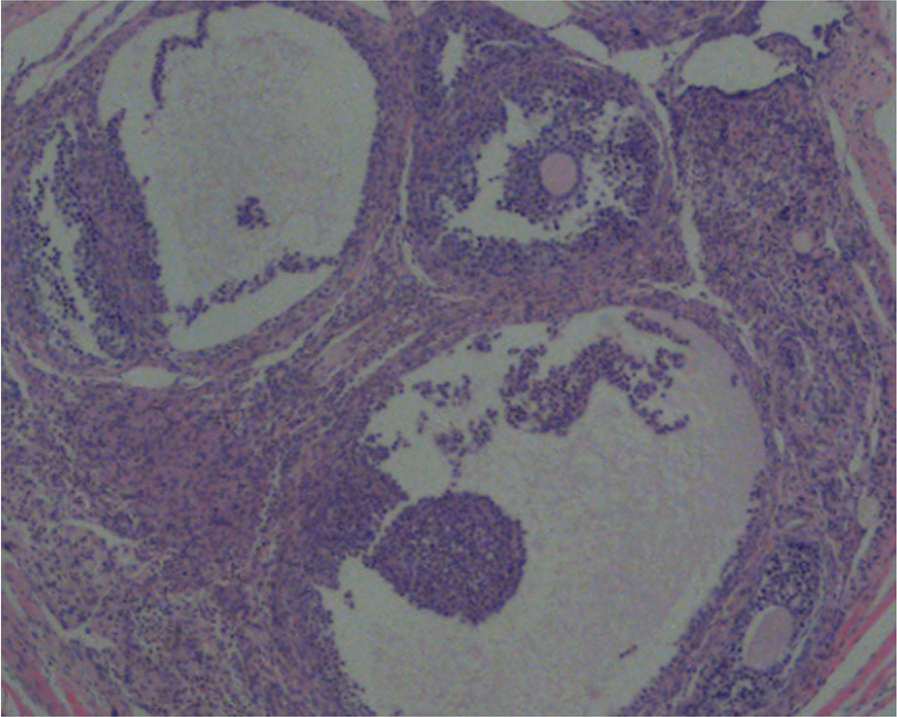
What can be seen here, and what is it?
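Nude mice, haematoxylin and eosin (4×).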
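Ovarian tissue showing several antral follicles set in dense, cellular stroma. In the upper middle follicle, a round oocyte with a pale pink rim and cytoplasm lies within a mound of granulosa cells that projects into the cavity. Lower down, a dense rounded cluster of granulosa cells bulges into another cavity, with loose clumps of cells floating nearby. Around each follicle the stroma forms concentric layers of spindle-shaped cells. A second oocyte lies in a smaller follicle at the lower right.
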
